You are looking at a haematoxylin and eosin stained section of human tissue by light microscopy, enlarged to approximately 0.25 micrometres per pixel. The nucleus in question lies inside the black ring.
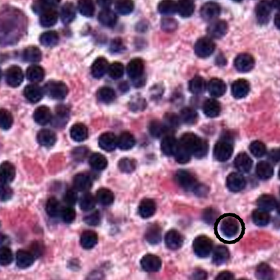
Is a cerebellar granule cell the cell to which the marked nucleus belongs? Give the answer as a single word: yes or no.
yes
